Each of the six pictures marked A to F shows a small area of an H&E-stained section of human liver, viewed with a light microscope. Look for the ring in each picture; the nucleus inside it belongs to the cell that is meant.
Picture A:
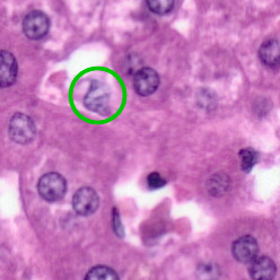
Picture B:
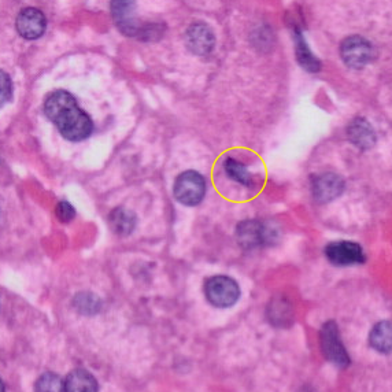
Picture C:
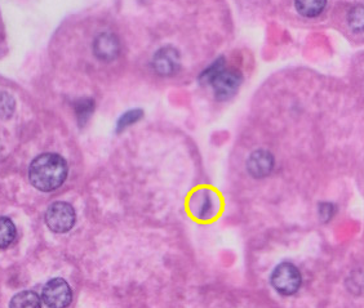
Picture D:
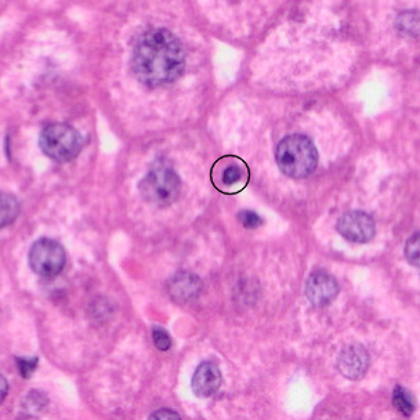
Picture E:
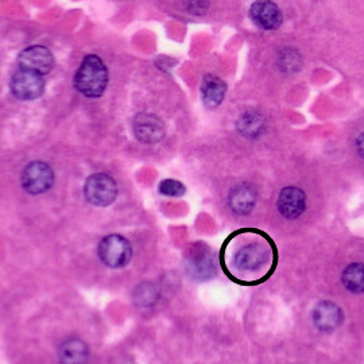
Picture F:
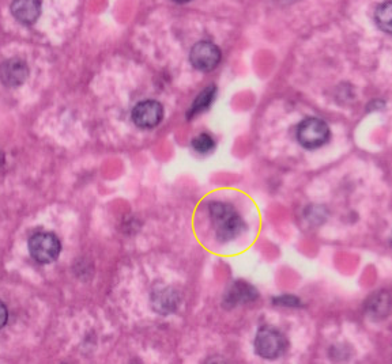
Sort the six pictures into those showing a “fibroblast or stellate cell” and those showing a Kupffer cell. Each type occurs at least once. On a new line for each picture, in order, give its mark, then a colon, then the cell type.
A: Kupffer cell
B: fibroblast or stellate cell
C: Kupffer cell
D: fibroblast or stellate cell
E: Kupffer cell
F: Kupffer cell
